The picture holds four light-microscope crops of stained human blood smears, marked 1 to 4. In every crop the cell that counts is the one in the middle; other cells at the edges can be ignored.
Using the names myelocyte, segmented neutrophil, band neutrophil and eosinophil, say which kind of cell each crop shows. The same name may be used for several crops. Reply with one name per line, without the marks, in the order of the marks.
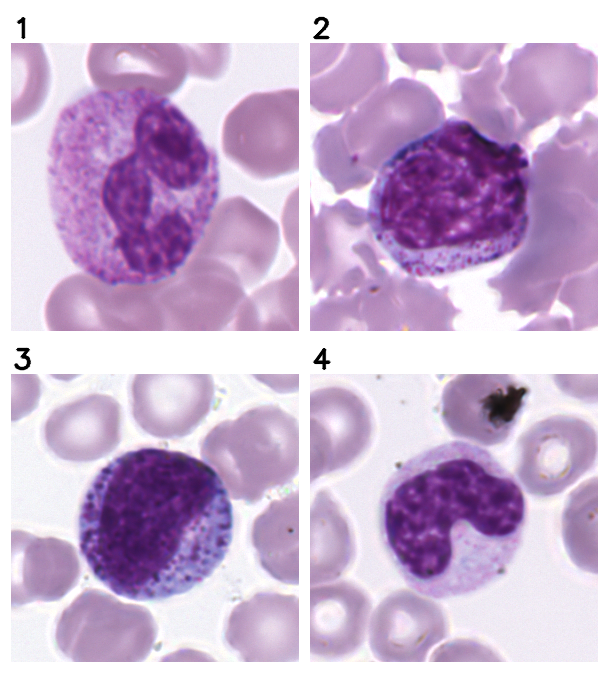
segmented neutrophil
myelocyte
myelocyte
band neutrophil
